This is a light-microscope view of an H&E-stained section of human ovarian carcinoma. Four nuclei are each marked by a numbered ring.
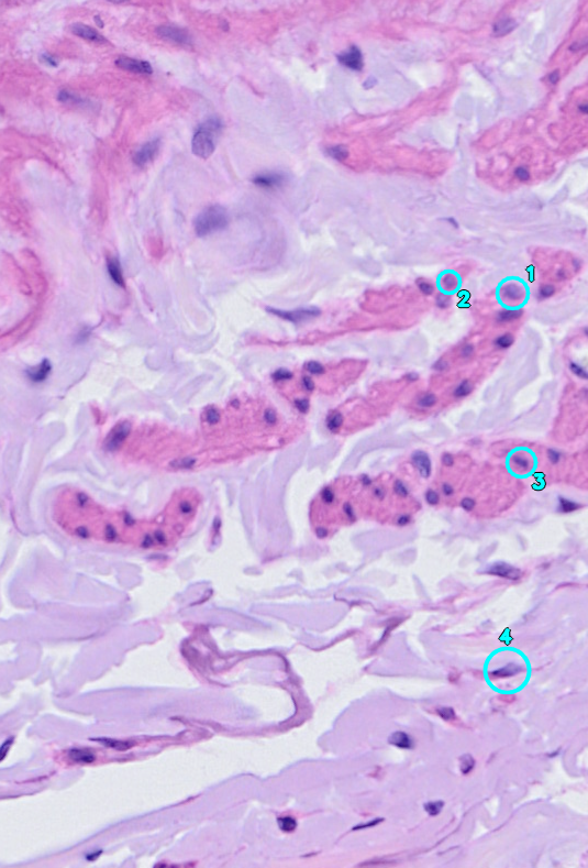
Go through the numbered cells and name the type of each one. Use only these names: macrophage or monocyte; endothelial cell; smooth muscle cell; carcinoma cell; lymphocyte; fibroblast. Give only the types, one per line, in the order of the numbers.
smooth muscle cell
smooth muscle cell
smooth muscle cell
fibroblast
